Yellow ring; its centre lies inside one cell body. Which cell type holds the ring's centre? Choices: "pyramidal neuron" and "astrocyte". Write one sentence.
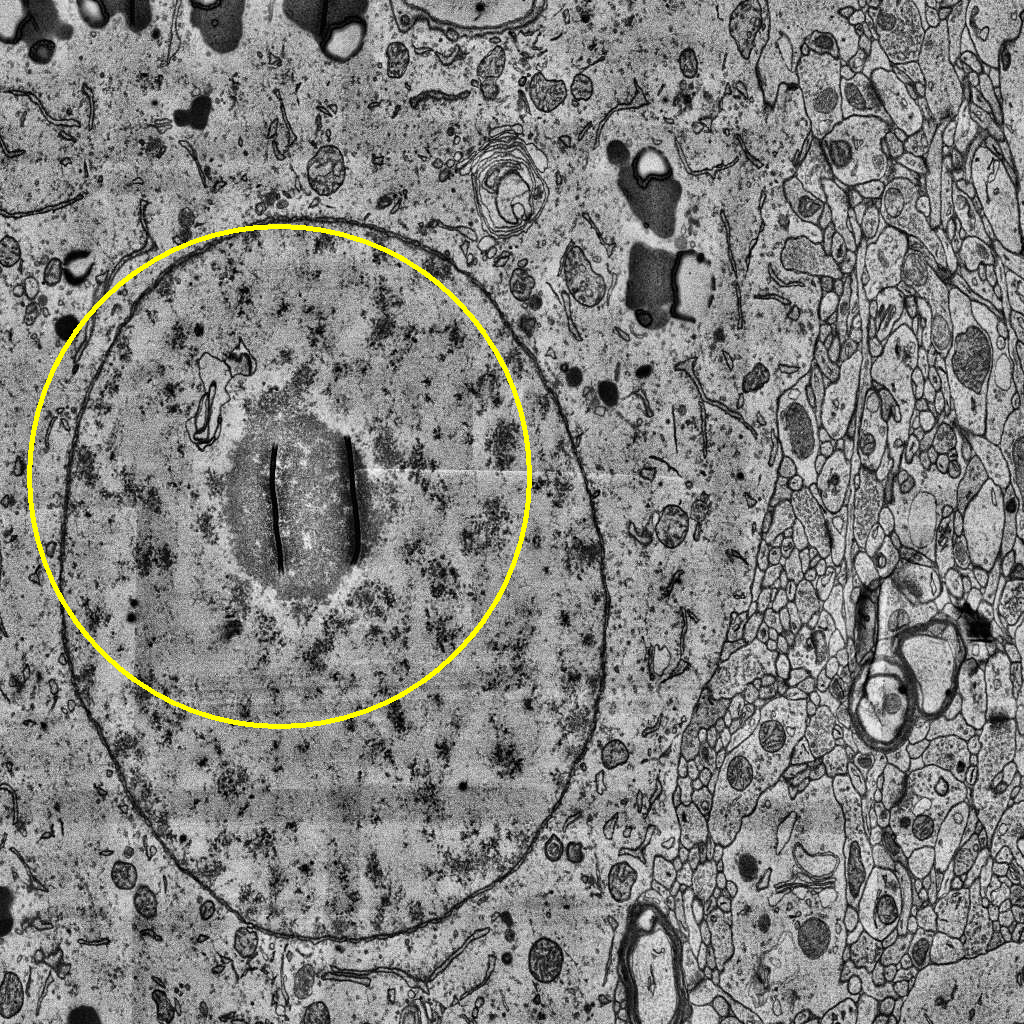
At the centre of the ring sits a pyramidal neuron.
